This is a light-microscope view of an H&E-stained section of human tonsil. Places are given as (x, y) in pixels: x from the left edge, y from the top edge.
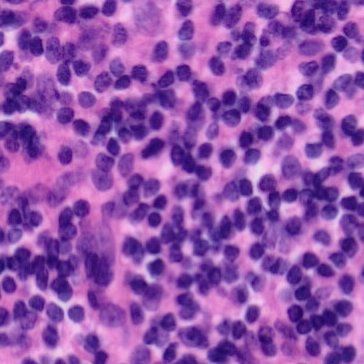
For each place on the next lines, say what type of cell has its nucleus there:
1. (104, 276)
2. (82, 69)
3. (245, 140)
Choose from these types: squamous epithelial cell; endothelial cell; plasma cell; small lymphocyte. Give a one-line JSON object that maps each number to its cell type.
{"1": "endothelial cell", "2": "small lymphocyte", "3": "small lymphocyte"}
